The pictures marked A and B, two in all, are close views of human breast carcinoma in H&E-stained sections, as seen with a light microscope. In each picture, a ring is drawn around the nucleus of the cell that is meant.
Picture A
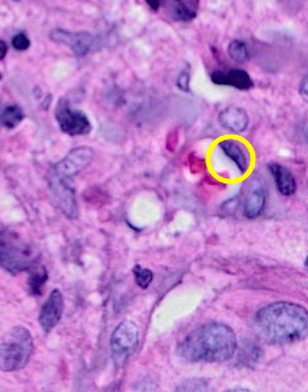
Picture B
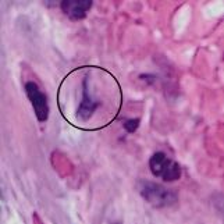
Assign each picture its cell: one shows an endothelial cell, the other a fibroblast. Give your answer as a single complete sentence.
In picture A the cell is an endothelial cell; in picture B, a fibroblast.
